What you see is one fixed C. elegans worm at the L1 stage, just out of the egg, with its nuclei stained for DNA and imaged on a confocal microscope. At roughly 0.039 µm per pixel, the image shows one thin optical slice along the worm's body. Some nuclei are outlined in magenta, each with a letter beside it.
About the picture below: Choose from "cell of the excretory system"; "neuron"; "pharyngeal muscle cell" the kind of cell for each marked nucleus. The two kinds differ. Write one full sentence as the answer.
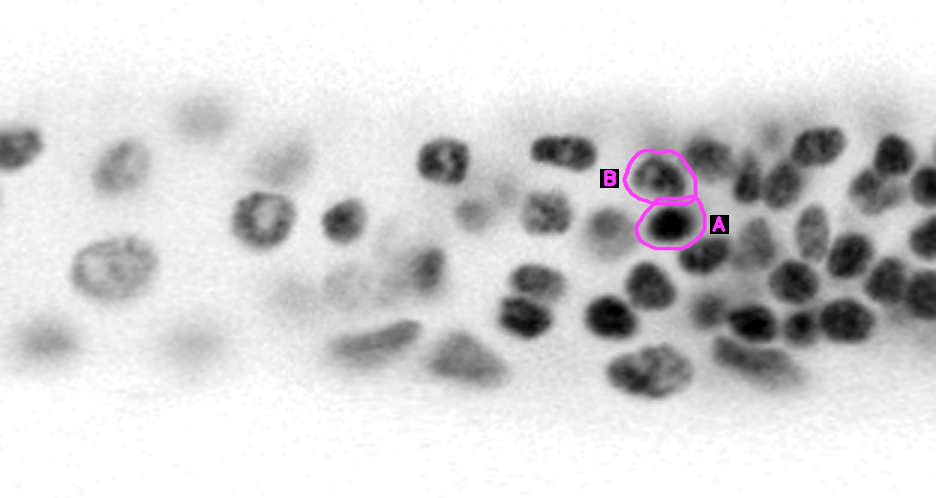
A belongs to a neuron and B to a cell of the excretory system.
